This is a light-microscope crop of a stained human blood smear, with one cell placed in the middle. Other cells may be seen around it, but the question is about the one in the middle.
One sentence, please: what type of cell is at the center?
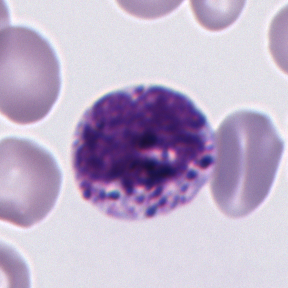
The target cell in the middle of the crop is a basophil.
